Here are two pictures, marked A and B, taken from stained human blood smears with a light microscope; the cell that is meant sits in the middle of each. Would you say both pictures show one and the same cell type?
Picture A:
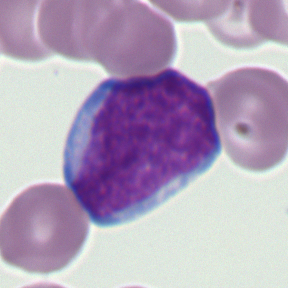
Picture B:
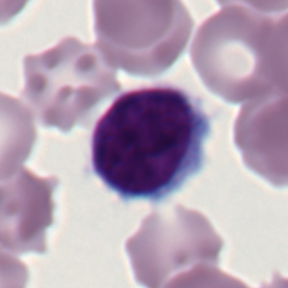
no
